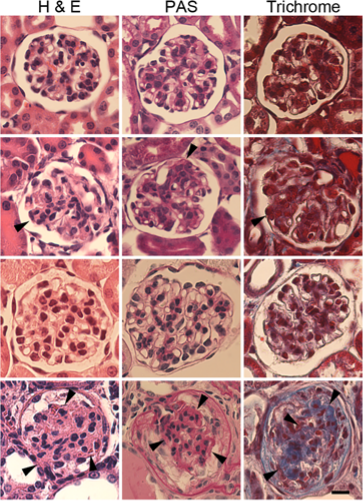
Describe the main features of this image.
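These are kidney glomeruli, each a round tuft of capillary loops sitting in a clear space inside a thin capsule, with cuboidal tubule cells around them. Arrowheads point to these widened zones of matrix between the capillaries.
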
